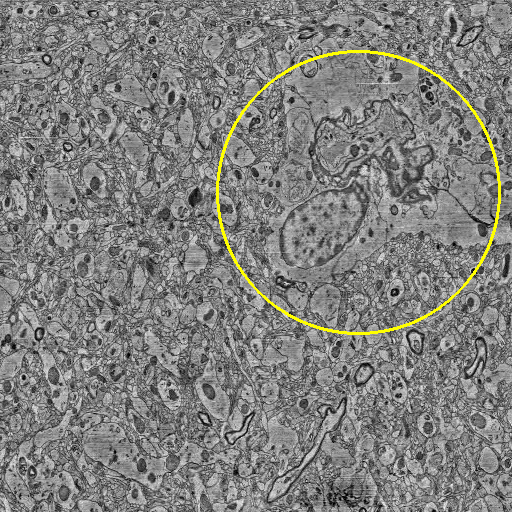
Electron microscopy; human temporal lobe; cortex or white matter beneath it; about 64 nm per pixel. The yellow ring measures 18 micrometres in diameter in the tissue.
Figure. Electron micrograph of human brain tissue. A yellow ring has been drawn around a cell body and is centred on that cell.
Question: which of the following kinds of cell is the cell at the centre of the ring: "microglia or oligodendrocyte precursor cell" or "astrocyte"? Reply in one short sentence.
The cell at the centre of the ring is a microglial cell or oligodendrocyte precursor cell.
